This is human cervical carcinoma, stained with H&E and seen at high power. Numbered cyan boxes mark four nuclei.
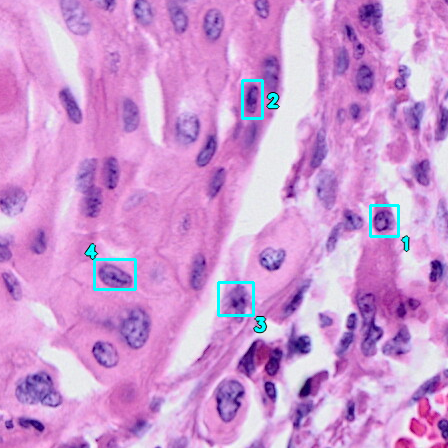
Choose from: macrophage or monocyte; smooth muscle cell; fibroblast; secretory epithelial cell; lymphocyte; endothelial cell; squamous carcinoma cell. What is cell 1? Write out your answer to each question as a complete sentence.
Identified as a macrophage or monocyte is the cell bearing the number 1.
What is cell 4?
Heads up, the cell numbered 4 is a squamous carcinoma cell.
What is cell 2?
Corresponding to a squamous carcinoma cell is the cell labelled 2.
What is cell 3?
Regarding cell 3, this one is a macrophage or monocyte.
